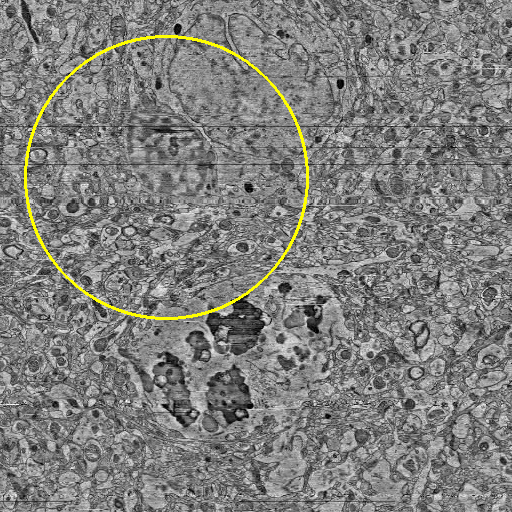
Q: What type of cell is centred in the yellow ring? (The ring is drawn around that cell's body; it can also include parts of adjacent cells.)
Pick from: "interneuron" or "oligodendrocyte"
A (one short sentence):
The yellow ring is centred on an oligodendrocyte.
